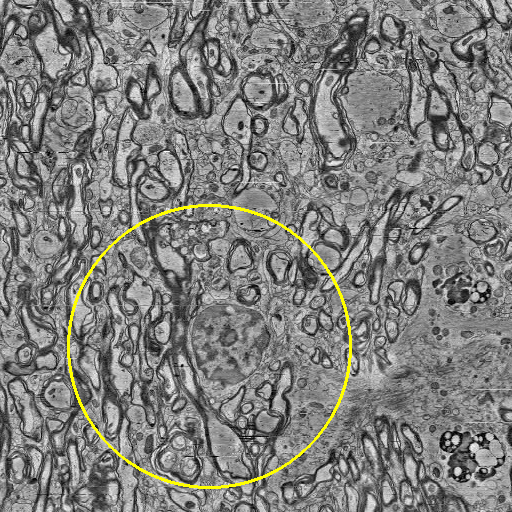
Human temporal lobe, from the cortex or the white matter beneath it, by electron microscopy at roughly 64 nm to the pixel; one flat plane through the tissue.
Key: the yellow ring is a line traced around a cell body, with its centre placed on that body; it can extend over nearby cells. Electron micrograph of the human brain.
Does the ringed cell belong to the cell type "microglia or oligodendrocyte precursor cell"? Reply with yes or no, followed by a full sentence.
Yes, the cell at the centre of the yellow ring in the picture is of that type.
